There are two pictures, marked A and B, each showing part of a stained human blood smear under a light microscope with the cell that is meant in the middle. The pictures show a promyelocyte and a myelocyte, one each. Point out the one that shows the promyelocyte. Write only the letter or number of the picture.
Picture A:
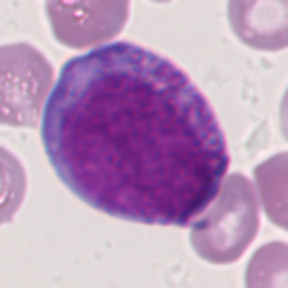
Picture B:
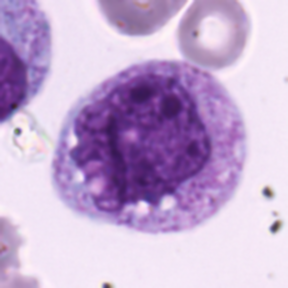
A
